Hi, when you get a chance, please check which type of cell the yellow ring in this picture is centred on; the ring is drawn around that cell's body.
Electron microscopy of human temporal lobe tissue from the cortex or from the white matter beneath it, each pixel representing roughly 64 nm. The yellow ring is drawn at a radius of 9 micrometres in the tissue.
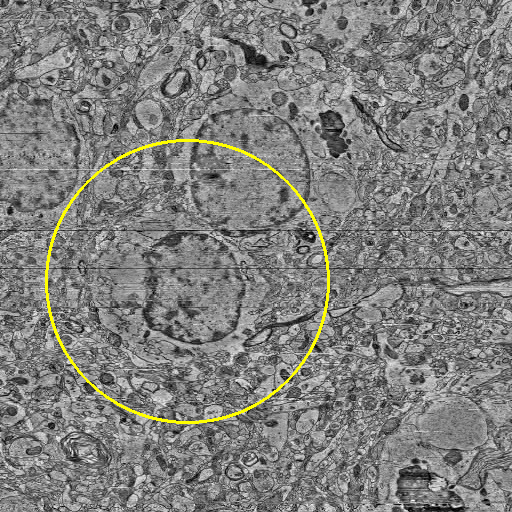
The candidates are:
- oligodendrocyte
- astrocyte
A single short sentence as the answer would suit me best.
The ring is drawn around the body of an astrocyte.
